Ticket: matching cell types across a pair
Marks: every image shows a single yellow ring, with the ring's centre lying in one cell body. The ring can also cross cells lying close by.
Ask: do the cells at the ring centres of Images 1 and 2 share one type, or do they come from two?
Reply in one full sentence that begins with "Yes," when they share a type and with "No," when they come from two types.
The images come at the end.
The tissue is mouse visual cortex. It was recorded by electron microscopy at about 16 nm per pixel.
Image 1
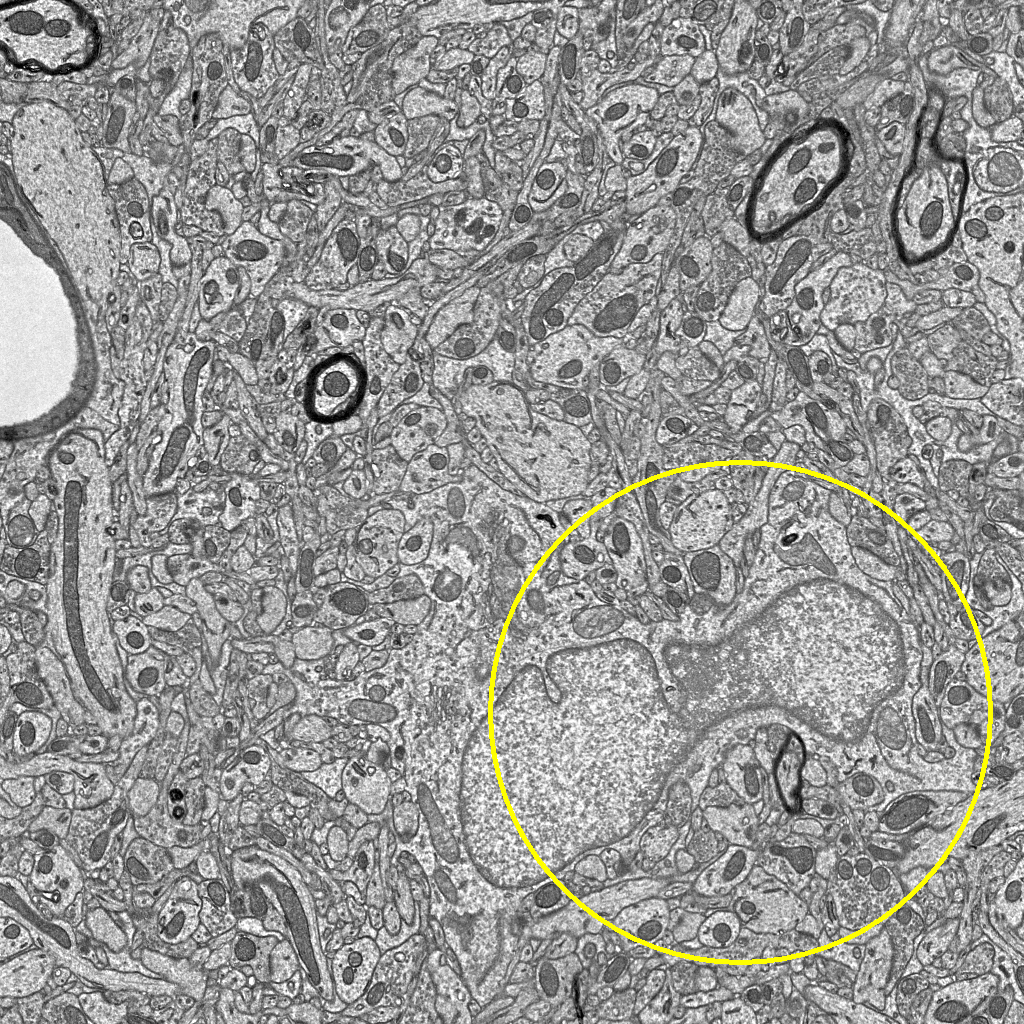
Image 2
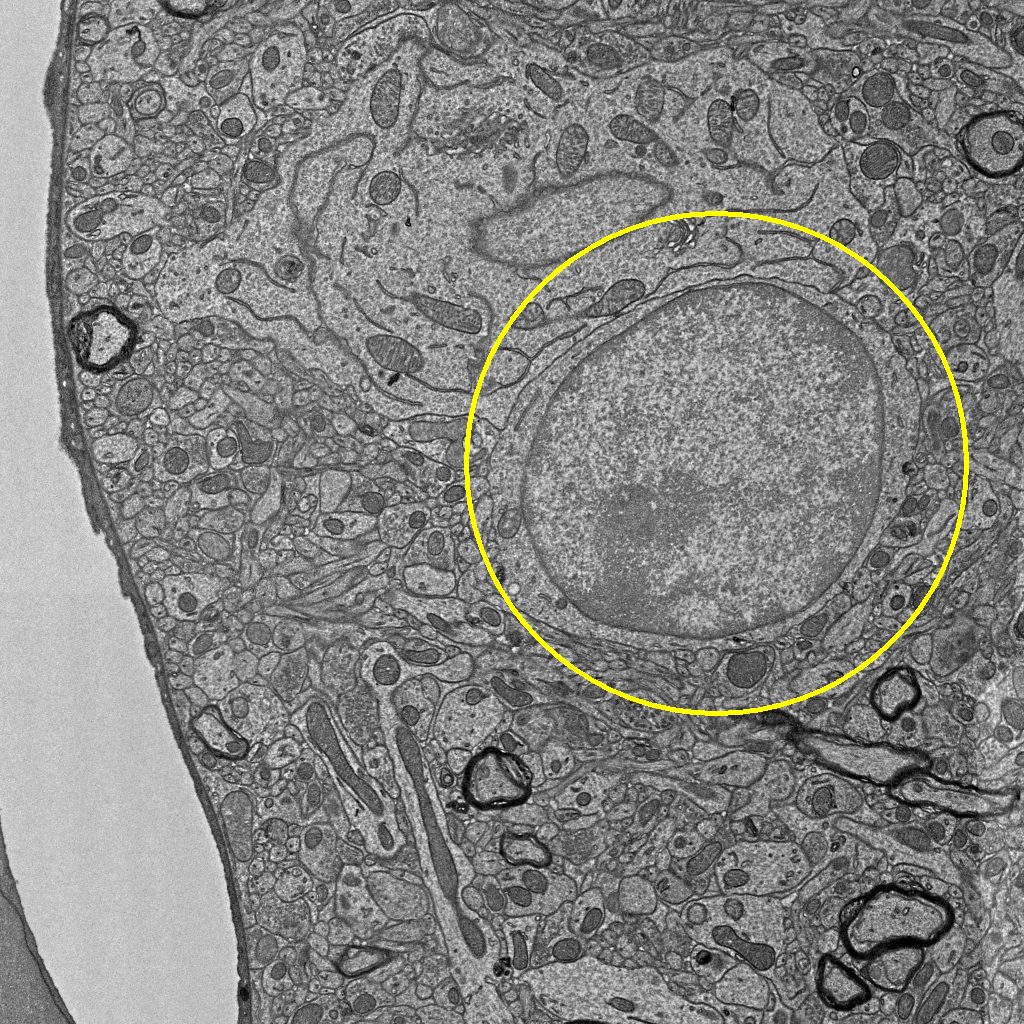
No, the cells at the centres of the rings in Image 1 and Image 2 come from two types.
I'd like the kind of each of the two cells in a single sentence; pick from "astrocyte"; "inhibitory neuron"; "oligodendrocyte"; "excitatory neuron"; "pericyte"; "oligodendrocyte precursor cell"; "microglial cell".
The first cell is an astrocyte; the second is an oligodendrocyte.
